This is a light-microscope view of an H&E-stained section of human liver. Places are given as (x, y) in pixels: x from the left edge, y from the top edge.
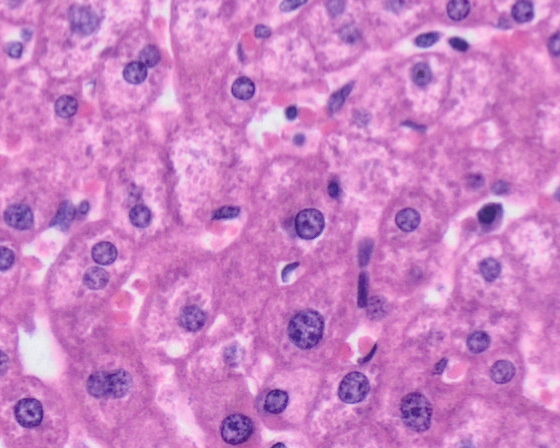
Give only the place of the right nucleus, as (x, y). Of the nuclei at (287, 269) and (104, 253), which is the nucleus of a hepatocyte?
(104, 253)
